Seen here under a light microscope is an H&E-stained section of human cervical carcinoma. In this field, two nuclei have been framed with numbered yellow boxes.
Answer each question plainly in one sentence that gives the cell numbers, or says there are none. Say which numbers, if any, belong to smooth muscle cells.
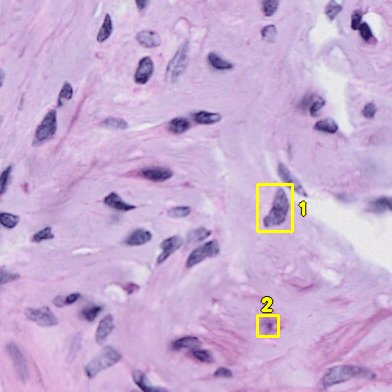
Only cell 2 qualifies as a smooth muscle cell among the numbered cells.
